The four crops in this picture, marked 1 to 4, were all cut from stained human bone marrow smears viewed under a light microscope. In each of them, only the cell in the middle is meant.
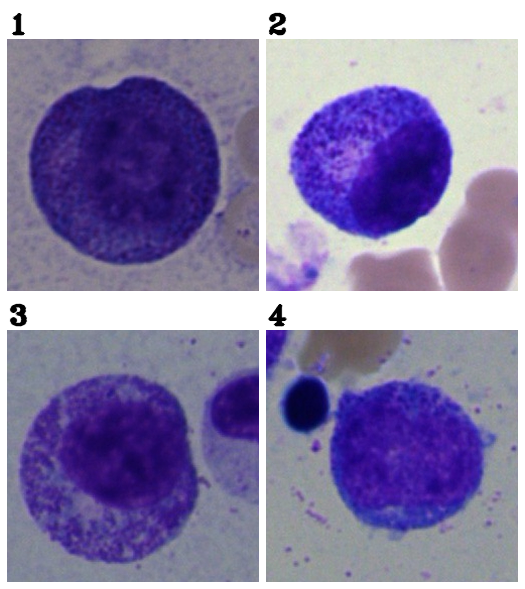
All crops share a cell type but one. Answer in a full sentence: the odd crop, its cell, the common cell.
The exception in this group is crop 3, a myelocyte, and the others are all promyelocytes.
